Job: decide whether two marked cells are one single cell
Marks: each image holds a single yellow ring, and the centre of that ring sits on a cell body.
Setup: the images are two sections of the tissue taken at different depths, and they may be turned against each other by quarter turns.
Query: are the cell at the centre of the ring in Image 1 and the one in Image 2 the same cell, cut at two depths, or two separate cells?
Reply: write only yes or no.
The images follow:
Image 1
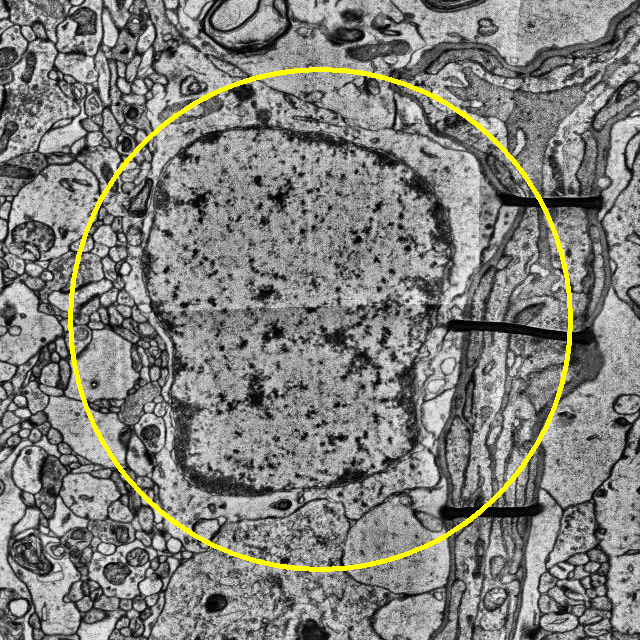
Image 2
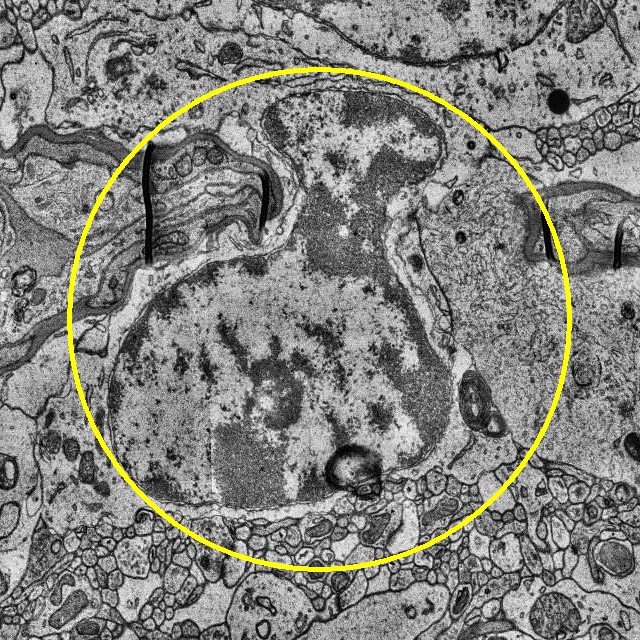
yes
